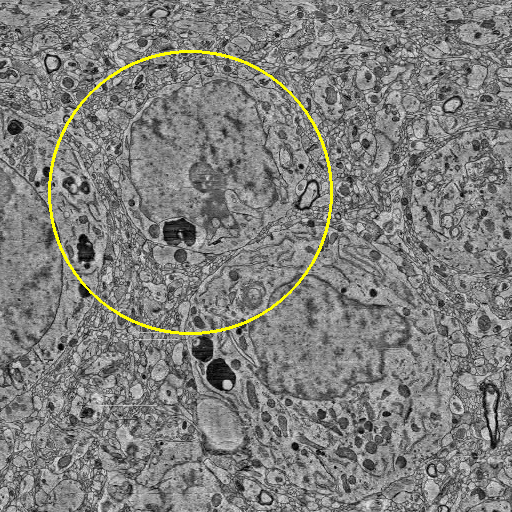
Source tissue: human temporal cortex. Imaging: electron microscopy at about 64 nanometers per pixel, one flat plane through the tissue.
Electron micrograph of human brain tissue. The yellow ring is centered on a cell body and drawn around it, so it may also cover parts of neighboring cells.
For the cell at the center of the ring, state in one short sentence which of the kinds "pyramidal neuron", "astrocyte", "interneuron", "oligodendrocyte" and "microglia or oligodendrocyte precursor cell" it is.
This ring is centered on an interneuron.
